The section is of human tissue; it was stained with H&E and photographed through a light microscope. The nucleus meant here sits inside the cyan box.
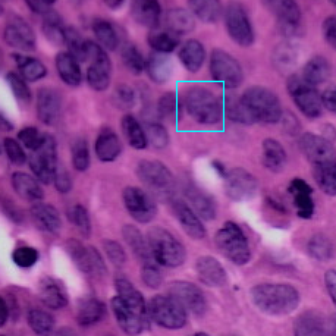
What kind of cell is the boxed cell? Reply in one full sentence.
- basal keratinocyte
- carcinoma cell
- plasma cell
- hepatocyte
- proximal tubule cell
The cell meant here is a carcinoma cell.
